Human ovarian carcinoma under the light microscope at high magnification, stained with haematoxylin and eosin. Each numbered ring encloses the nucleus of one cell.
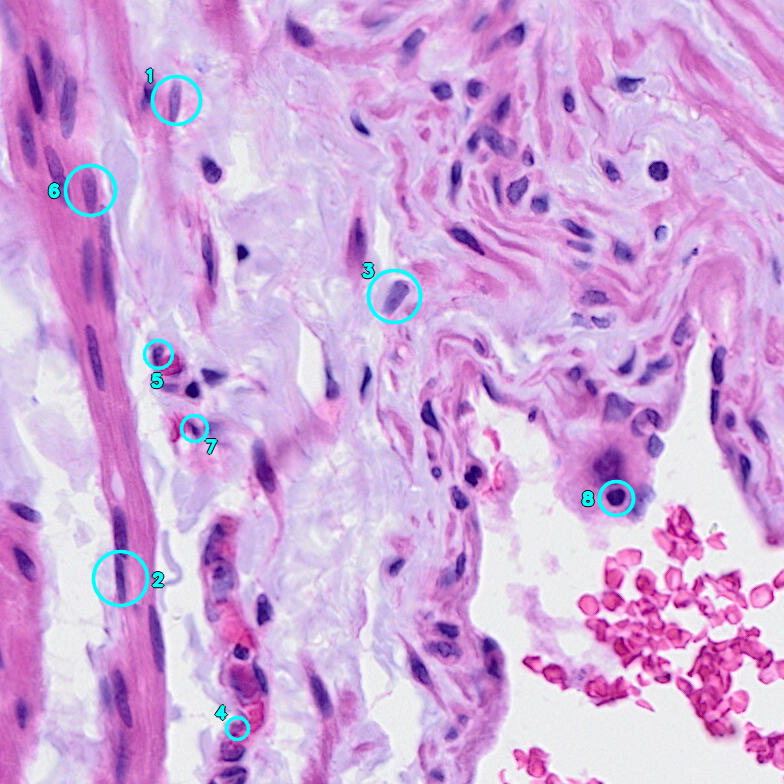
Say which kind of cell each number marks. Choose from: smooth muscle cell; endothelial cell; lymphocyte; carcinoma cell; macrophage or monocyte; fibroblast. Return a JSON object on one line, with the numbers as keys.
{"1": "smooth muscle cell", "2": "smooth muscle cell", "3": "fibroblast", "4": "endothelial cell", "5": "endothelial cell", "6": "smooth muscle cell", "7": "endothelial cell", "8": "lymphocyte"}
